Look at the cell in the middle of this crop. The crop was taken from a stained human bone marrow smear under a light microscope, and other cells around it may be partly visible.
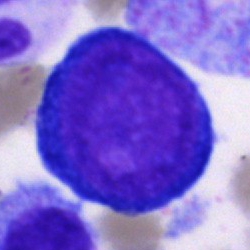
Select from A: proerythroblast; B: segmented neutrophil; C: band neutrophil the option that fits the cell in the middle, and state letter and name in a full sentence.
The cell at the centre, correctly named in option A, is a proerythroblast.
